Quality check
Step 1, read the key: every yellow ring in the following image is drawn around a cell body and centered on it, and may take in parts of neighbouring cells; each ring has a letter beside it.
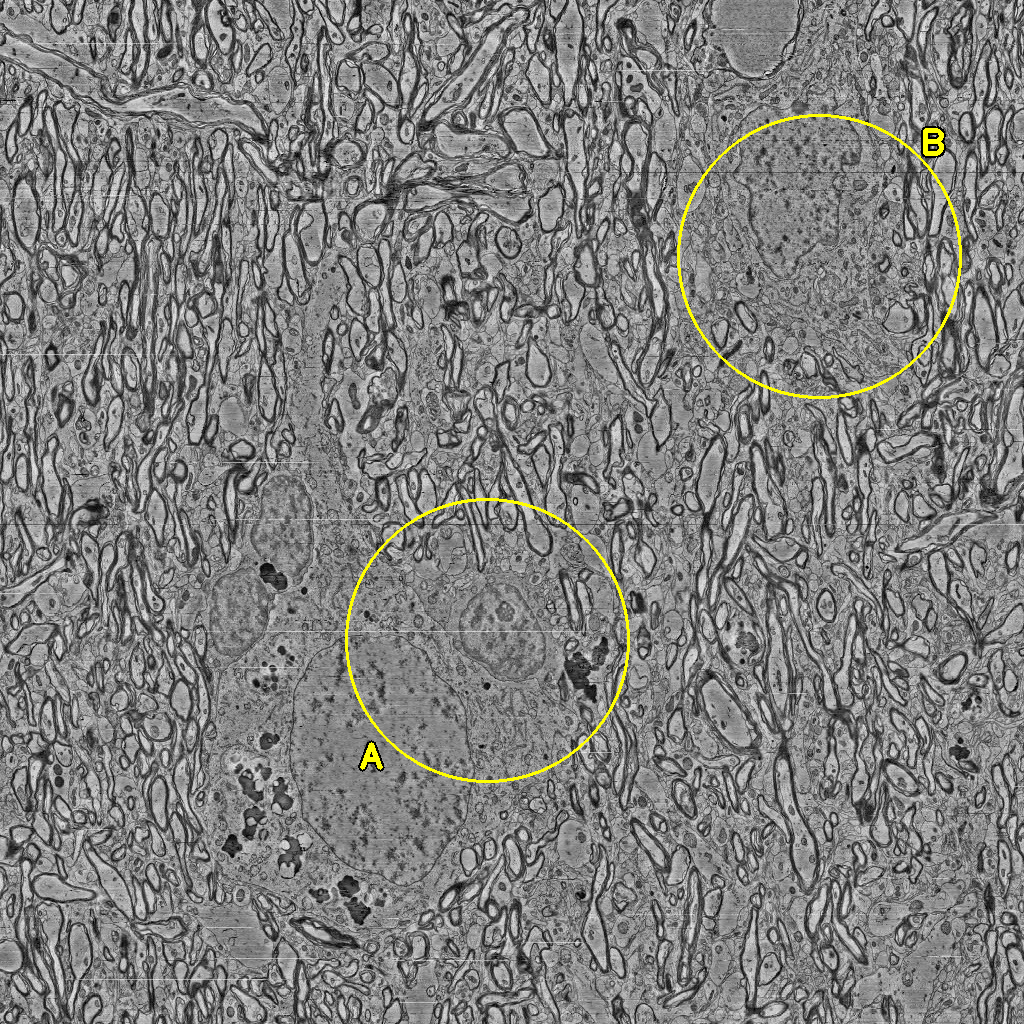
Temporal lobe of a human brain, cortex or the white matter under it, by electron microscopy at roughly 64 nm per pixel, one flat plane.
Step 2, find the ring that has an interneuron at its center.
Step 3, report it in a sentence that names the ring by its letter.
Ring B is centered on that cell.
